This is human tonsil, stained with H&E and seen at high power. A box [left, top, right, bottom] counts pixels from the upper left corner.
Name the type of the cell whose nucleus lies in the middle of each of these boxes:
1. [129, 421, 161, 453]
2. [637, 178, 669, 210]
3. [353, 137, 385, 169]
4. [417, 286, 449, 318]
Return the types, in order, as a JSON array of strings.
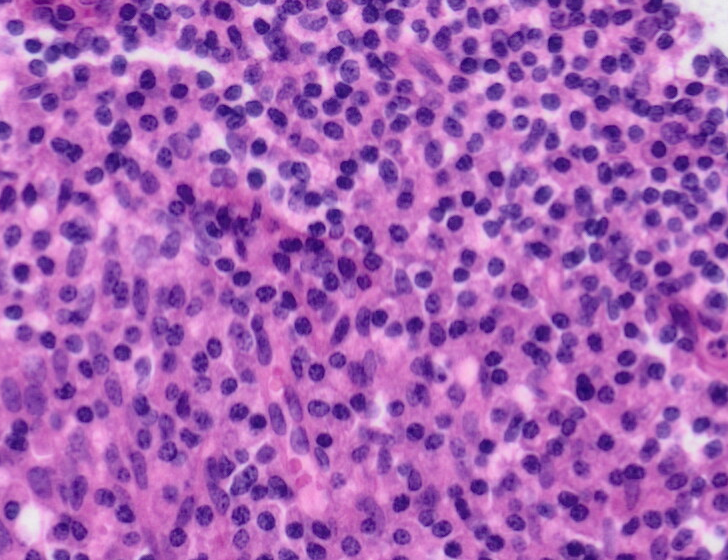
["plasma cell", "small lymphocyte", "plasma cell", "plasma cell"]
